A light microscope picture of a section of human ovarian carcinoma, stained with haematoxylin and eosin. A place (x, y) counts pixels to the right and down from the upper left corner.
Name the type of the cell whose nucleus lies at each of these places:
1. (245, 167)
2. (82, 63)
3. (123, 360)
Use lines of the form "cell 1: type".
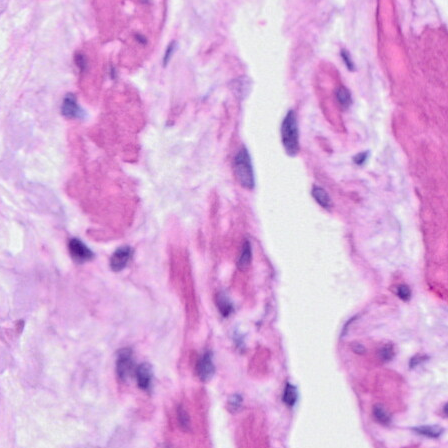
cell 1: endothelial cell
cell 2: smooth muscle cell
cell 3: endothelial cell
